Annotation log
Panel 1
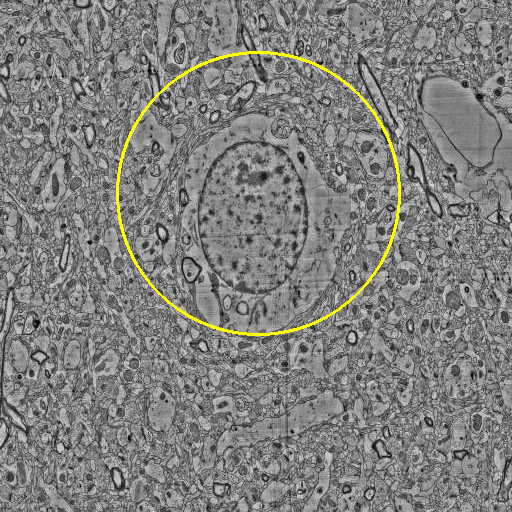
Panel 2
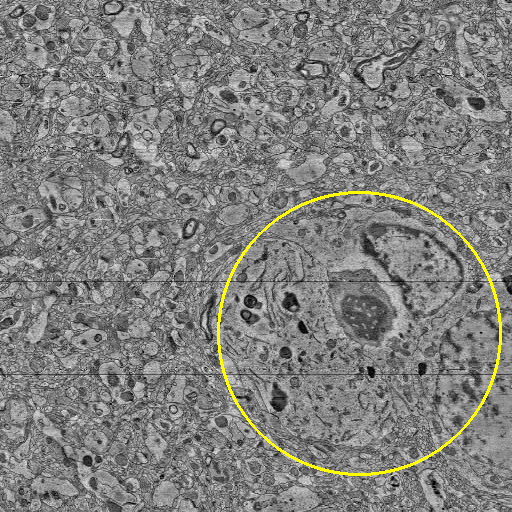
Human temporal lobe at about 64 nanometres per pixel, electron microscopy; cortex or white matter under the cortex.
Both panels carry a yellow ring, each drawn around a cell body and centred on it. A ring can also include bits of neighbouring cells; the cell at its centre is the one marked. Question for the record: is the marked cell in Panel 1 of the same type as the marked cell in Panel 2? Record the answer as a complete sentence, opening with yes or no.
No, the marked cells in Panel 1 and Panel 2 are of two types.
